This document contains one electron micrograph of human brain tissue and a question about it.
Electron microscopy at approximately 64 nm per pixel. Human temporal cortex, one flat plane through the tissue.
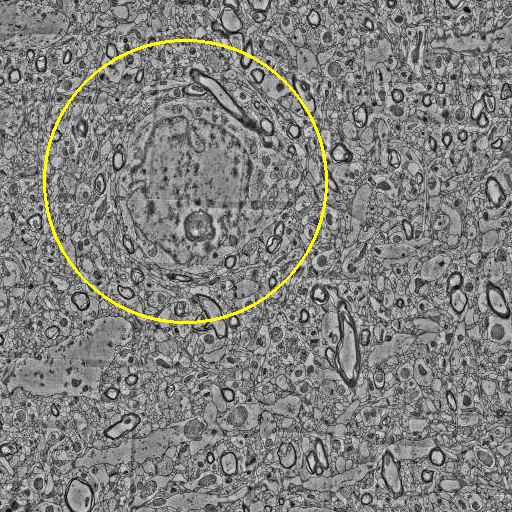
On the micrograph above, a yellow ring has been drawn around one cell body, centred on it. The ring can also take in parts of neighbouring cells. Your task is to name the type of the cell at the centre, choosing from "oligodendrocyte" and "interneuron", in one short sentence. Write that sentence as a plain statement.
Here the ring is centred on an interneuron.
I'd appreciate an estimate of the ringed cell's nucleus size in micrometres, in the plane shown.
The nucleus comes to roughly 9 by 8 micrometres in this plane.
